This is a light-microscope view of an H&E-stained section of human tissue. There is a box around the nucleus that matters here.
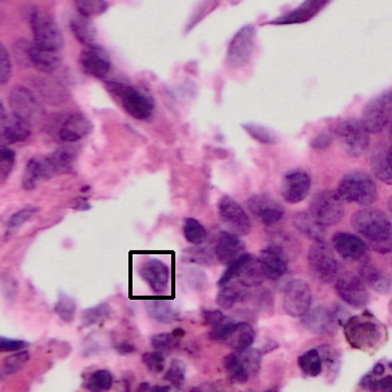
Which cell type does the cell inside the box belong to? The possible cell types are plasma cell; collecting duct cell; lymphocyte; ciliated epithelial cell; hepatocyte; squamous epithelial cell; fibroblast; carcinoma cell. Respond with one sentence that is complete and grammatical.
Placed in its cell category, the cell inside the box is a carcinoma cell.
